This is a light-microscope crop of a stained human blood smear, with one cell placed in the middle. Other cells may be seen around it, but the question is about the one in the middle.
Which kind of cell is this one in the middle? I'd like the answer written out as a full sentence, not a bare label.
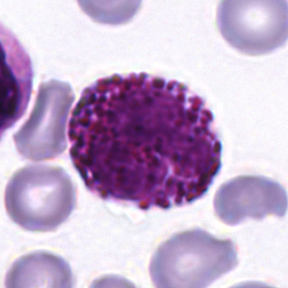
Positioned in the middle of the crop is a basophil.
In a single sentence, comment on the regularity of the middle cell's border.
The edge of the cell is unbroken and smooth, bearing no projections.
